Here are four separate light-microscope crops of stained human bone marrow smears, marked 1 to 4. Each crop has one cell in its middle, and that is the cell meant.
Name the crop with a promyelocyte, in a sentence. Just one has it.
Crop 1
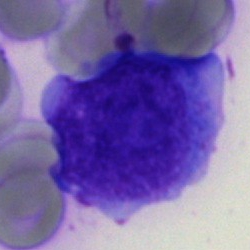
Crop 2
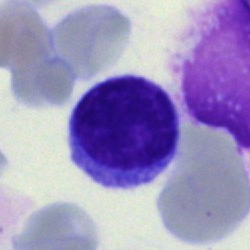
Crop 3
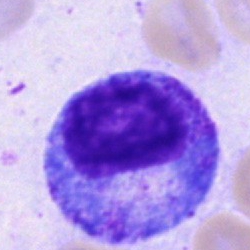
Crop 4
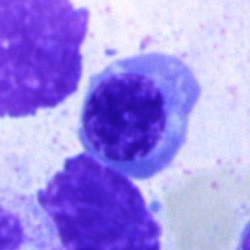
Crop 3 is the correct crop, and it shows a promyelocyte.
